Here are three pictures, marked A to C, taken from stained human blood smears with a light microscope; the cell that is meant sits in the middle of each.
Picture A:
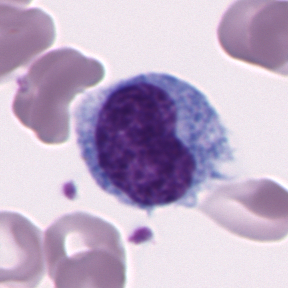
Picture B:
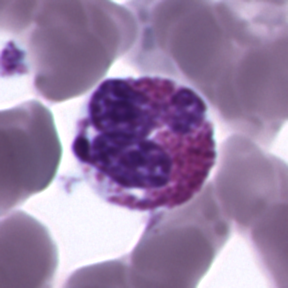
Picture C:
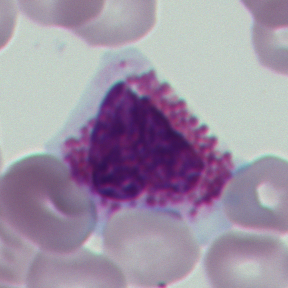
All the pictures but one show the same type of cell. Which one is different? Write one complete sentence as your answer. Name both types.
Picture A is the odd one out: it shows a monocyte, while the others show eosinophils.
